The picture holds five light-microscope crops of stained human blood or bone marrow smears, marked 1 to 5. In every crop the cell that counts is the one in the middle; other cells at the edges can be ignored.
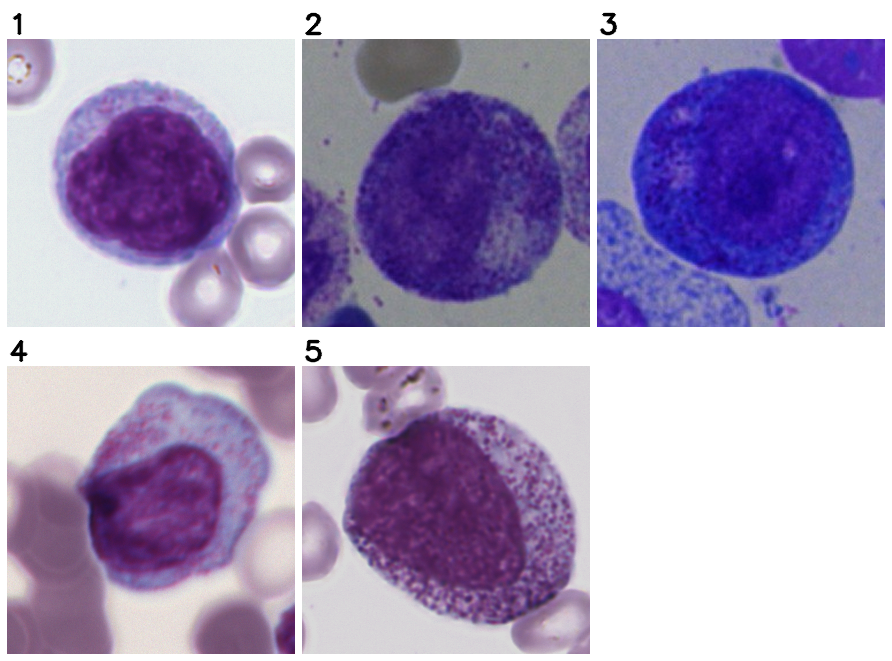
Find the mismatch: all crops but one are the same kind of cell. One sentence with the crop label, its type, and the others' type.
Crop 4 presents a myelocyte, while promyelocytes are presented by all other crops.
